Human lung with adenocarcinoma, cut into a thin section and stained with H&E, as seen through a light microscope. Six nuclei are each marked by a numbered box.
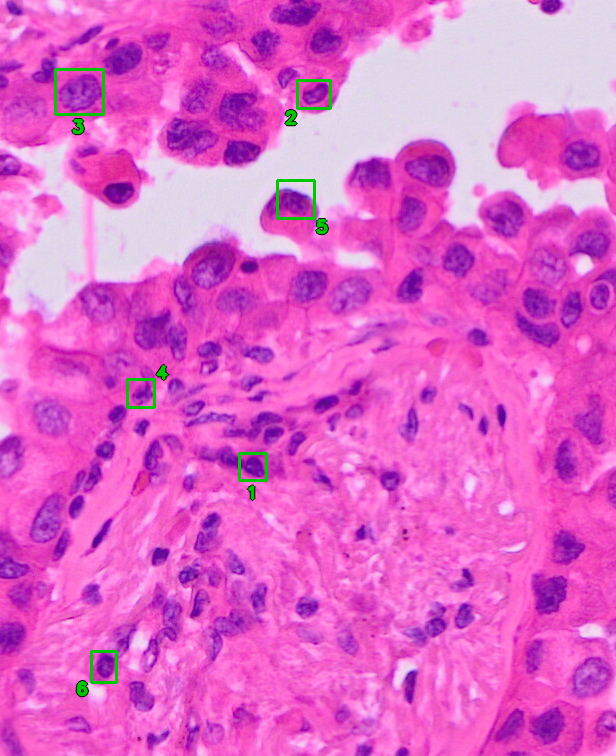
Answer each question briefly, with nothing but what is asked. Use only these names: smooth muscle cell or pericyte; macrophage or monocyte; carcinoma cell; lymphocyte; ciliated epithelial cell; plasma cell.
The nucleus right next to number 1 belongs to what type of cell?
plasma cell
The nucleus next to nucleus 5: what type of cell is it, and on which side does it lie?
a carcinoma cell, to the left of nucleus 5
